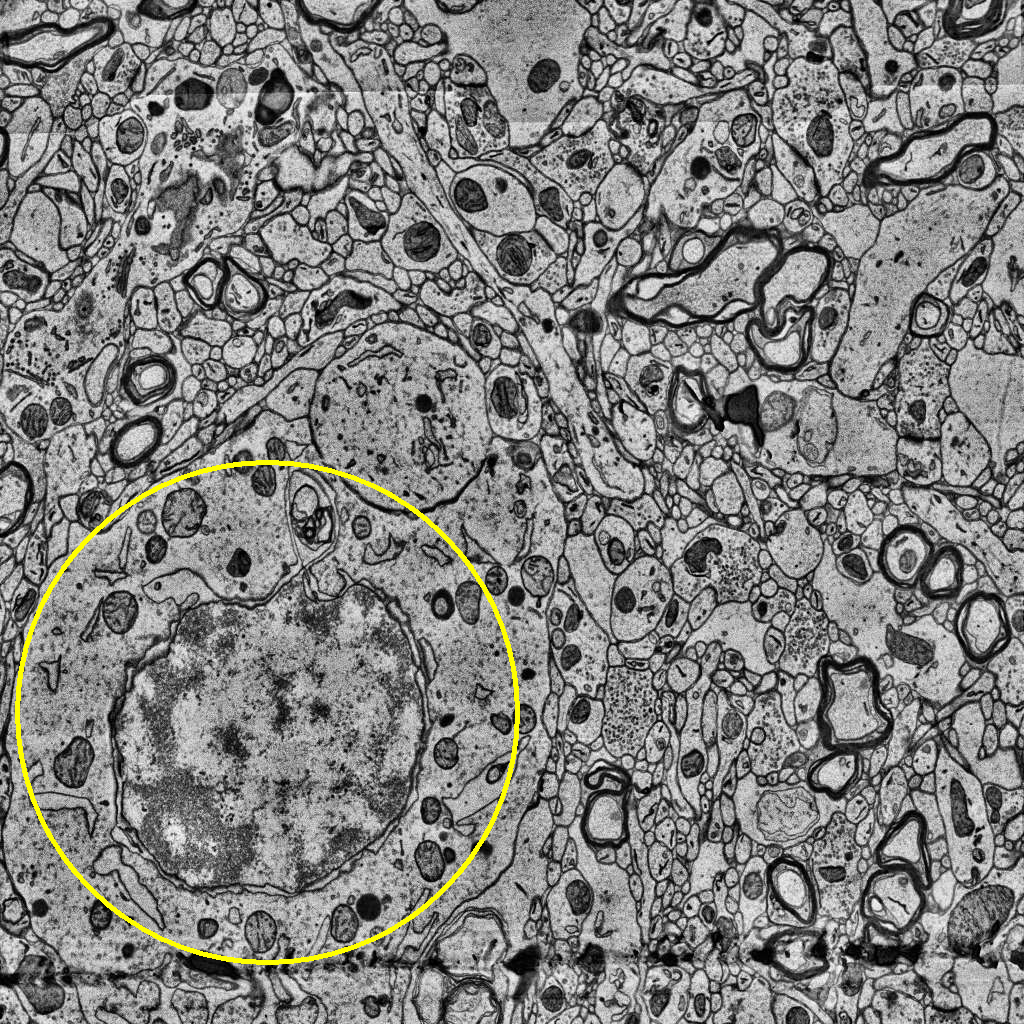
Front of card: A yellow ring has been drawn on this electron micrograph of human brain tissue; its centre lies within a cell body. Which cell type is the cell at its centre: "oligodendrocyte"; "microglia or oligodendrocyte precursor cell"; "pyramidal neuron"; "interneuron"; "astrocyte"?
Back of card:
interneuron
